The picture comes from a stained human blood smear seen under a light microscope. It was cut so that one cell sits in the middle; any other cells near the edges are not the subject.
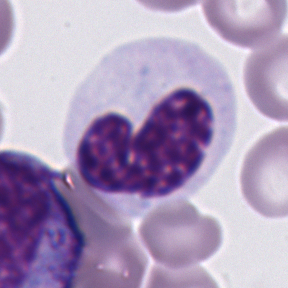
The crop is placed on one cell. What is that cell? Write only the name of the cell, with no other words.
band neutrophil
